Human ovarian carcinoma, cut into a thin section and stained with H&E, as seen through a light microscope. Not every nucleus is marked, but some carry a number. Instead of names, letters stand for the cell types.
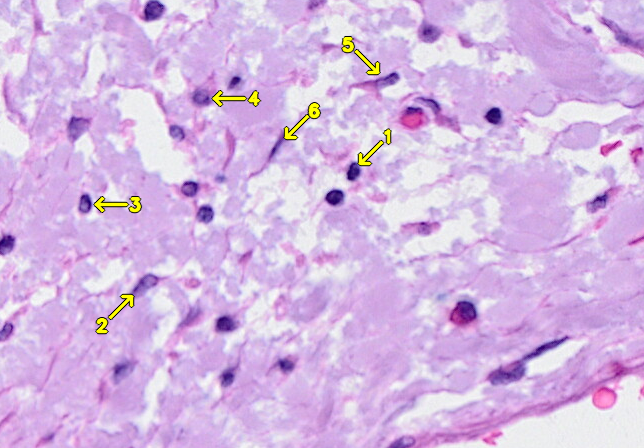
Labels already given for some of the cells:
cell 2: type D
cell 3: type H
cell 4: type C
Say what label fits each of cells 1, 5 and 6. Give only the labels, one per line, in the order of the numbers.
type H
type D
type D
